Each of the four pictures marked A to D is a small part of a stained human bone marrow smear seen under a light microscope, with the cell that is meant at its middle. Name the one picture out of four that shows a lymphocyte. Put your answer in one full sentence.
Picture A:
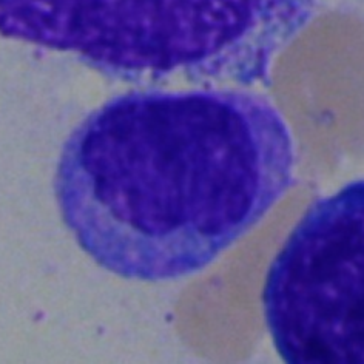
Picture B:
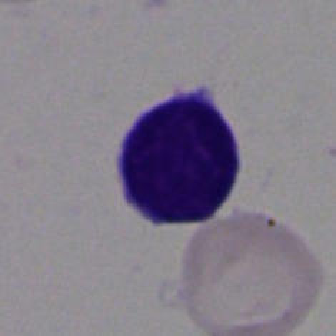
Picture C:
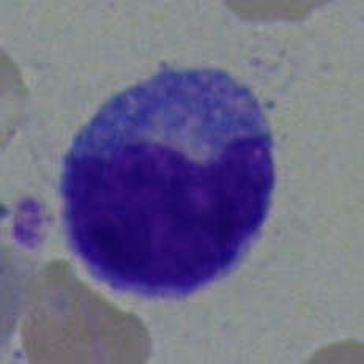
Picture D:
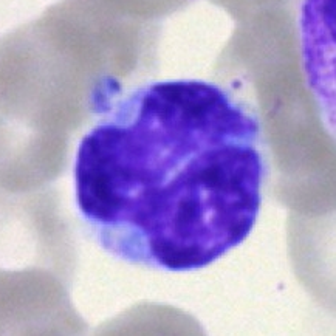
The lymphocyte is the one in picture B.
